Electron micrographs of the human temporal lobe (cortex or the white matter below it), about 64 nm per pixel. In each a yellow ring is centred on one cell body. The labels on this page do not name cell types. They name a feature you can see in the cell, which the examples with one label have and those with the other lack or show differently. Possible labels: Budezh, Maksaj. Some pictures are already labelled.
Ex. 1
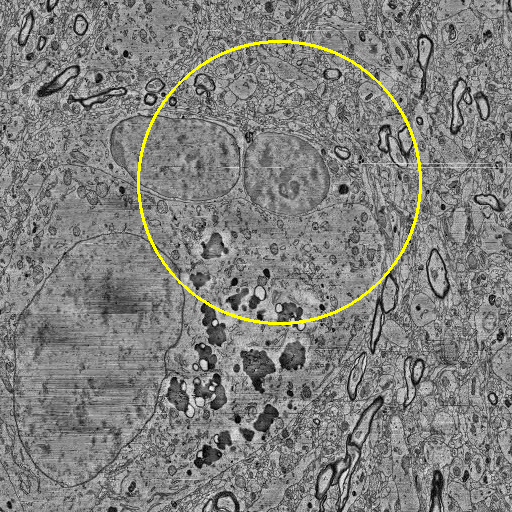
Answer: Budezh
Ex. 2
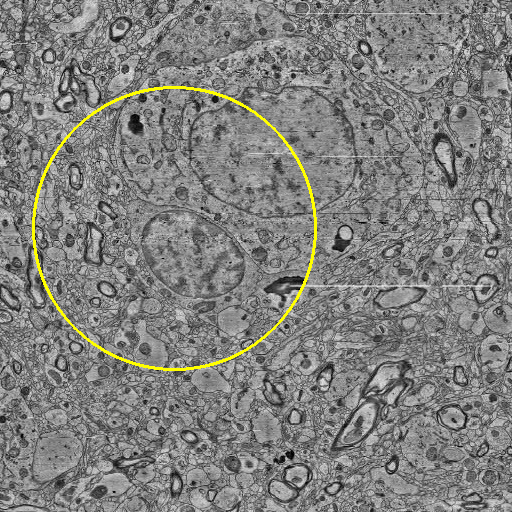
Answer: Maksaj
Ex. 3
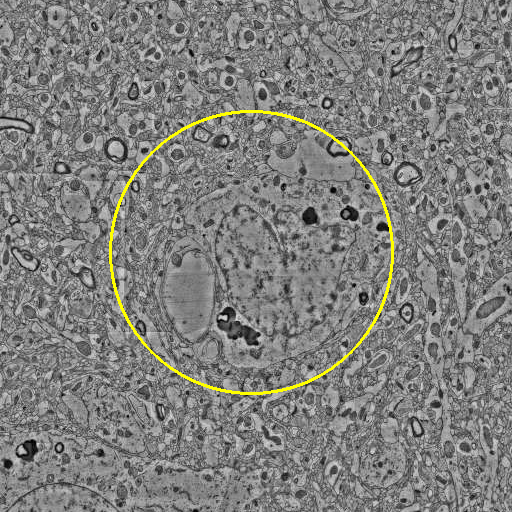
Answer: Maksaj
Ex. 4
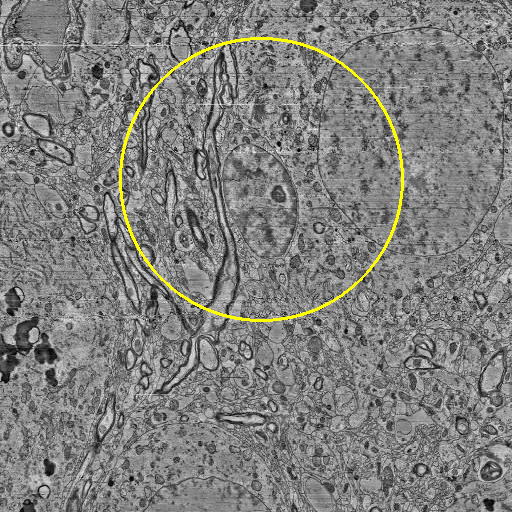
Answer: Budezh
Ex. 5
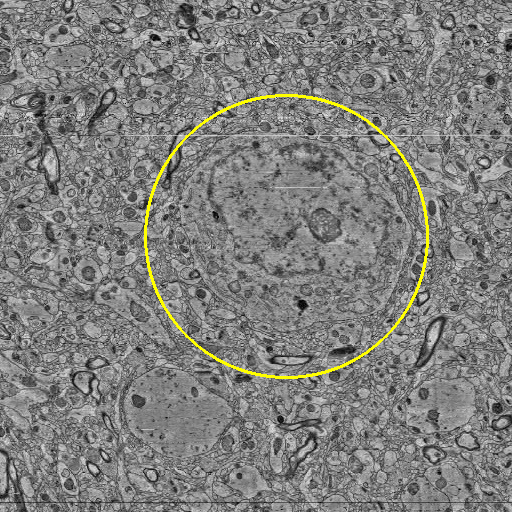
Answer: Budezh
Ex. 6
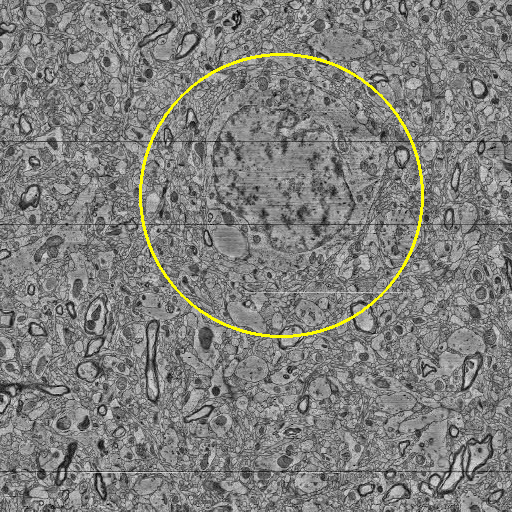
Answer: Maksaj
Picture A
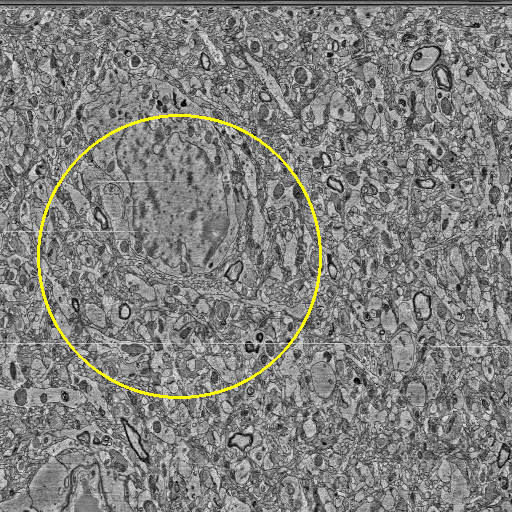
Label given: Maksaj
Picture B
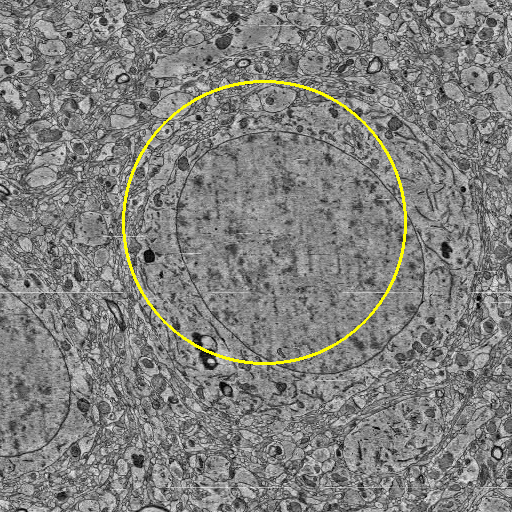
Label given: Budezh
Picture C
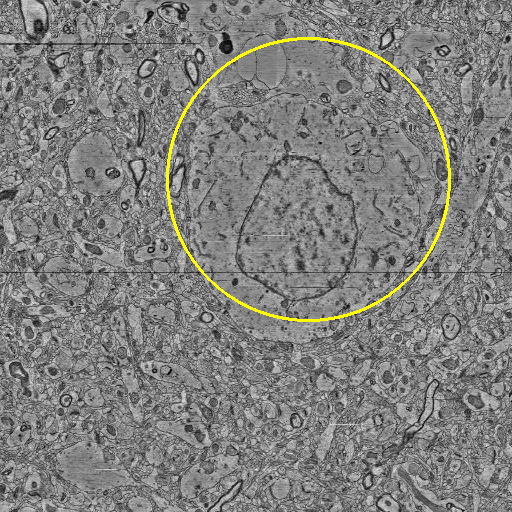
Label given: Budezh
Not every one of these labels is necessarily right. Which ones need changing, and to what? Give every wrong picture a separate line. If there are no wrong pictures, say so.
B: change Budezh to Maksaj
C: change Budezh to Maksaj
